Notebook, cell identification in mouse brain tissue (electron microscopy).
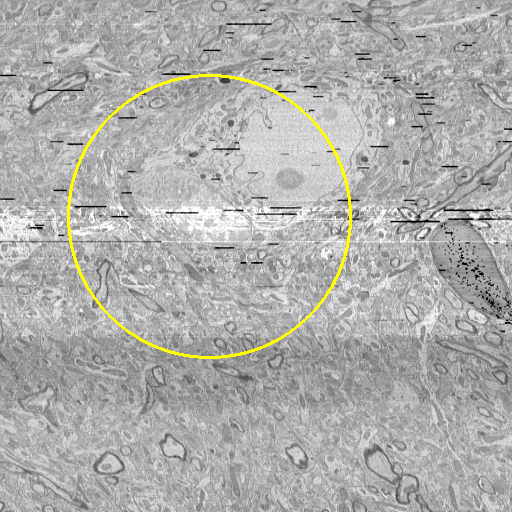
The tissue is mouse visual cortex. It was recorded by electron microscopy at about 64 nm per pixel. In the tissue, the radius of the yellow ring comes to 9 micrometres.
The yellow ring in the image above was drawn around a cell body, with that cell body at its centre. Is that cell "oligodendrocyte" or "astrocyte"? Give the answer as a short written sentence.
The cell in the ring is an oligodendrocyte.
